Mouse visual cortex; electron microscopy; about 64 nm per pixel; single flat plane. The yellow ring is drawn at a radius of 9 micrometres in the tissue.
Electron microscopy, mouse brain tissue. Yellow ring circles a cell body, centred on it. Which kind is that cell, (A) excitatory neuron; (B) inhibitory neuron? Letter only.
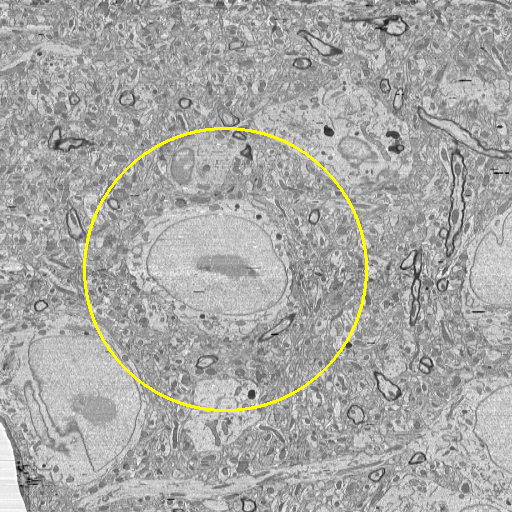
A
